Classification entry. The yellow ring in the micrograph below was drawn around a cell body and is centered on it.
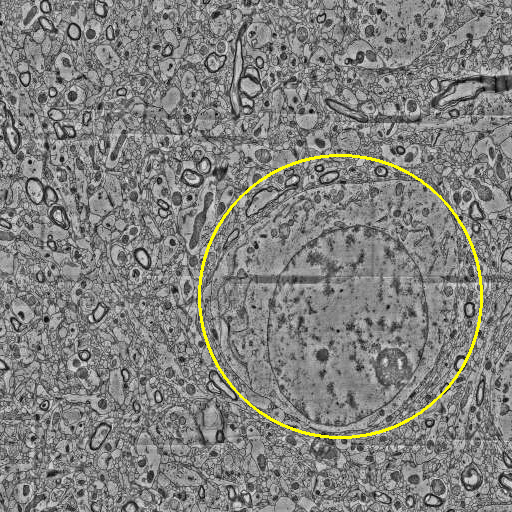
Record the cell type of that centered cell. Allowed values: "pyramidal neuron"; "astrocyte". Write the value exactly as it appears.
pyramidal neuron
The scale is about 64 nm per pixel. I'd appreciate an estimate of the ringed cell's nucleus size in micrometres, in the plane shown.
In this plane, the nucleus of the cell at the centre of the ring is about 12 micrometres across.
